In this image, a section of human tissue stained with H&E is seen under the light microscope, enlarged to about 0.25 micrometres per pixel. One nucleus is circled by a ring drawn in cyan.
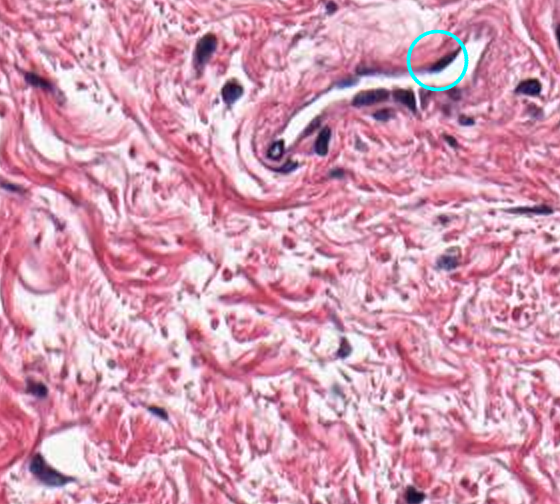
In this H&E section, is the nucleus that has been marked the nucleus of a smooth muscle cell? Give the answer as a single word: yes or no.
no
